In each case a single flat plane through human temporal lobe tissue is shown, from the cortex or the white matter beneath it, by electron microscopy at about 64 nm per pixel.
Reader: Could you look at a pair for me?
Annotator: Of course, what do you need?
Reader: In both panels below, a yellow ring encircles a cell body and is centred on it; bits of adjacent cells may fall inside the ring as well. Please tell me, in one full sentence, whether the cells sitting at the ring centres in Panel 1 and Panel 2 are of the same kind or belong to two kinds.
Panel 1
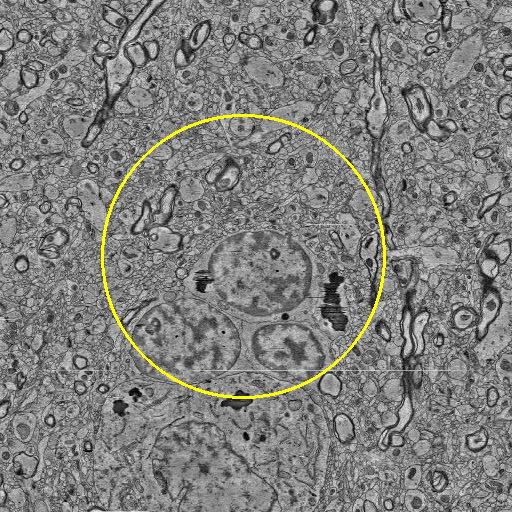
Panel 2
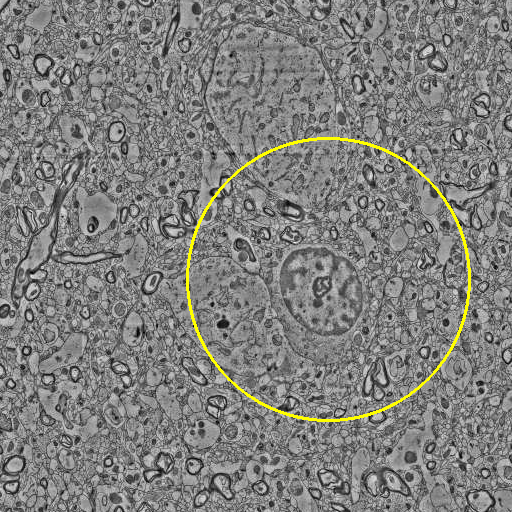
The cell at the ring's centre in Panel 1 and the one in Panel 2 are of the same kind.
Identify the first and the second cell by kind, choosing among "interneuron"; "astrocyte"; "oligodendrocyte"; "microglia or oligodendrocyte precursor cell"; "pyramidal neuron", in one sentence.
Each cell at the centre of a ring is an oligodendrocyte.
